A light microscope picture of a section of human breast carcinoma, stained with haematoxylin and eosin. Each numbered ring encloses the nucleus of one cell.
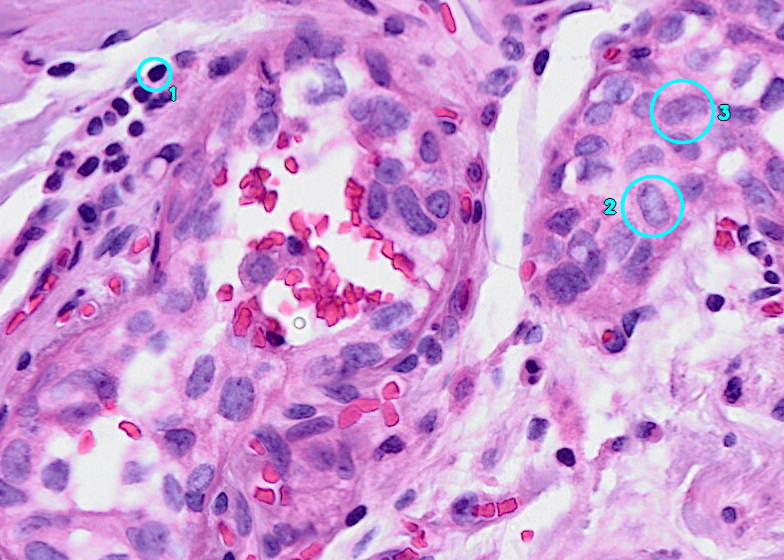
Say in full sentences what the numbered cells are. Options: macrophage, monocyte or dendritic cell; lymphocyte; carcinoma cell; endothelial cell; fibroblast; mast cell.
Cell 1 is a lymphocyte. Cells 2 and 3 are carcinoma cells.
